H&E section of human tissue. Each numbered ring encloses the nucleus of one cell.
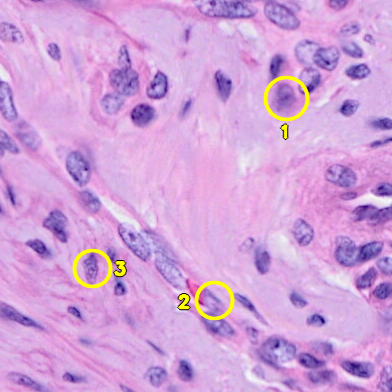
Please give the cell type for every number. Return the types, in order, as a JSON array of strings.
["endothelial cell", "endothelial cell", "smooth muscle cell"]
